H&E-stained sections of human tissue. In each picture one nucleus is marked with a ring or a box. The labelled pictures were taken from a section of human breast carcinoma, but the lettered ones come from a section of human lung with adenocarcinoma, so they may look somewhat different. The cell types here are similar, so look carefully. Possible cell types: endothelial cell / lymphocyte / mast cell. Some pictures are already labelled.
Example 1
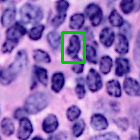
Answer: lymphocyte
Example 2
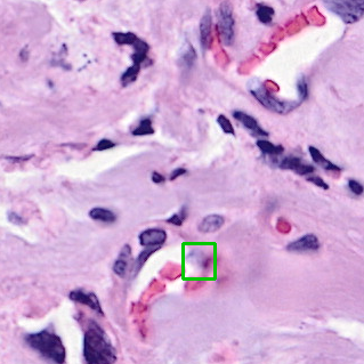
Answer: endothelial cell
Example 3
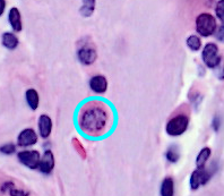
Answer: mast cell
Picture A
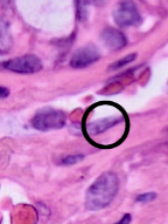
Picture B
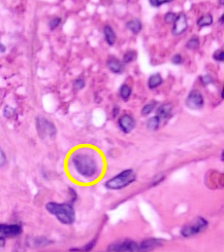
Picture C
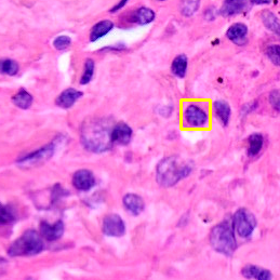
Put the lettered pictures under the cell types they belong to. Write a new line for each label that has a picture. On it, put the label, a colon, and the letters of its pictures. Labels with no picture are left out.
endothelial cell: A
mast cell: B, C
